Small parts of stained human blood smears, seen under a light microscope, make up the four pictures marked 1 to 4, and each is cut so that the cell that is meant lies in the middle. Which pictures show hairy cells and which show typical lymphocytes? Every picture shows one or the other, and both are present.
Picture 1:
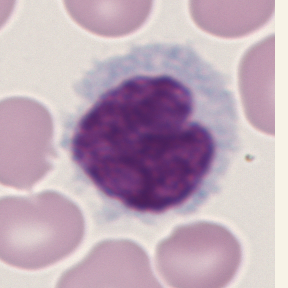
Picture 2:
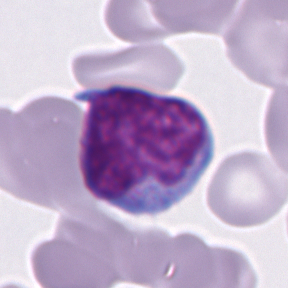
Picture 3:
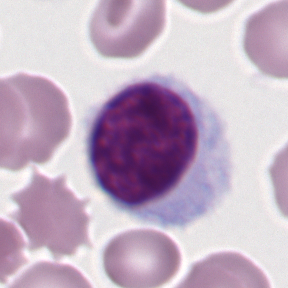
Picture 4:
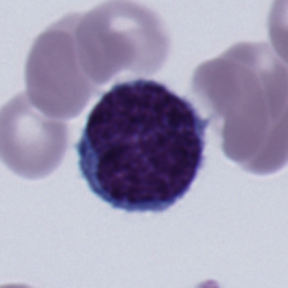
1: hairy cell
2: typical lymphocyte
3: hairy cell
4: typical lymphocyte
